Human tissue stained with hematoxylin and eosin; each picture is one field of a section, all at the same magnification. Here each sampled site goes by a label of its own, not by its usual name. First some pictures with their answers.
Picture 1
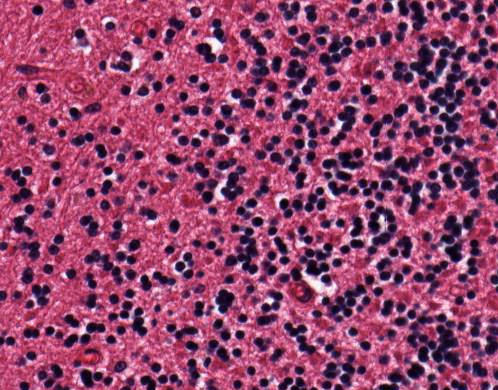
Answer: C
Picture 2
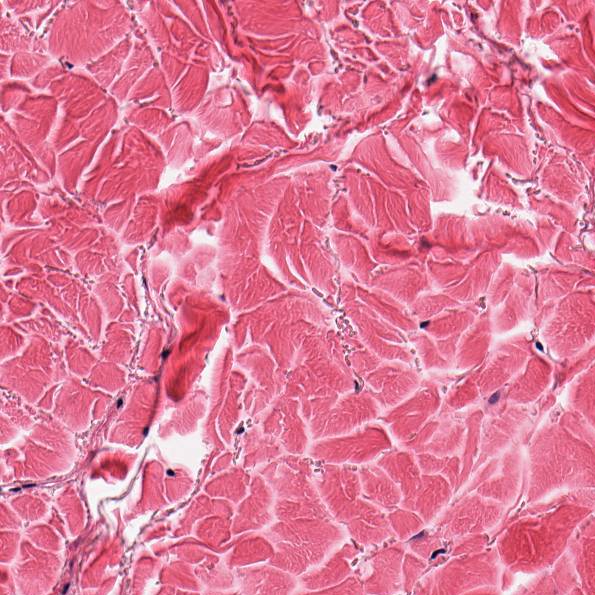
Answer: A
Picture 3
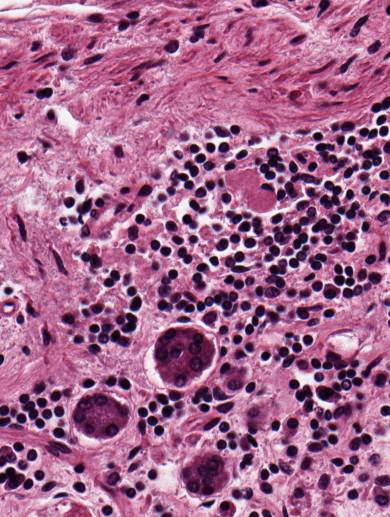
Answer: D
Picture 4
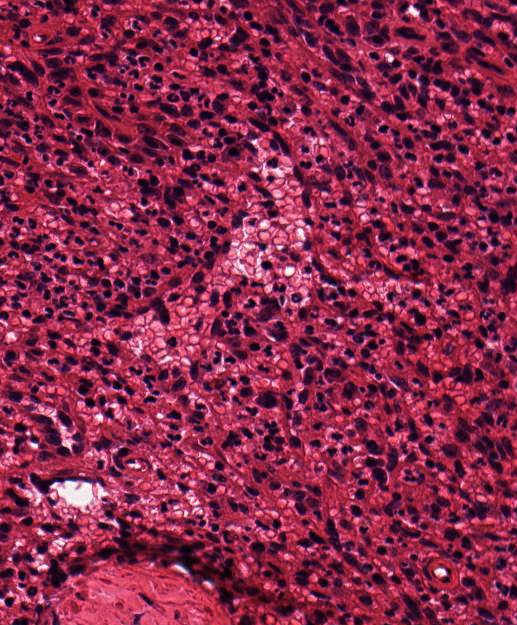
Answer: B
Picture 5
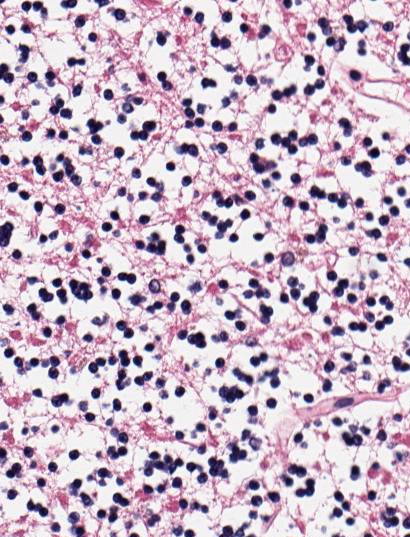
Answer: C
